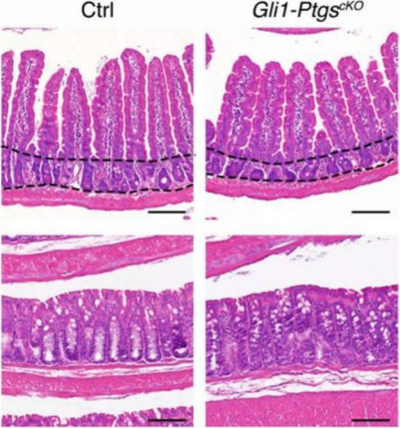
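Four sections of intestinal wall stained pink and purple are arranged in two rows. In the upper row, the mucosa of the small intestine forms tall, slender villi lined by a single layer of columnar epithelium. A narrow band of crypts at the base of the villi is bounded by dashed lines and sits on the muscular wall. In the lower row, the mucosa of the large intestine lacks villi. It consists of straight, closely packed glands rich in pale, rounded goblet cells, with a pink muscle layer beneath.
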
